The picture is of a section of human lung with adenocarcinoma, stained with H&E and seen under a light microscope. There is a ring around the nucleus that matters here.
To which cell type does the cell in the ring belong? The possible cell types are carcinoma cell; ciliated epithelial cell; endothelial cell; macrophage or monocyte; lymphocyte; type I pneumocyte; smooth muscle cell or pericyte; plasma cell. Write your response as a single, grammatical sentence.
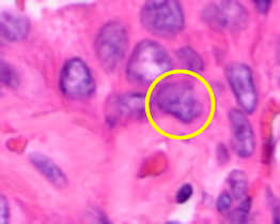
The classification of the cell in the ring is as a carcinoma cell.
